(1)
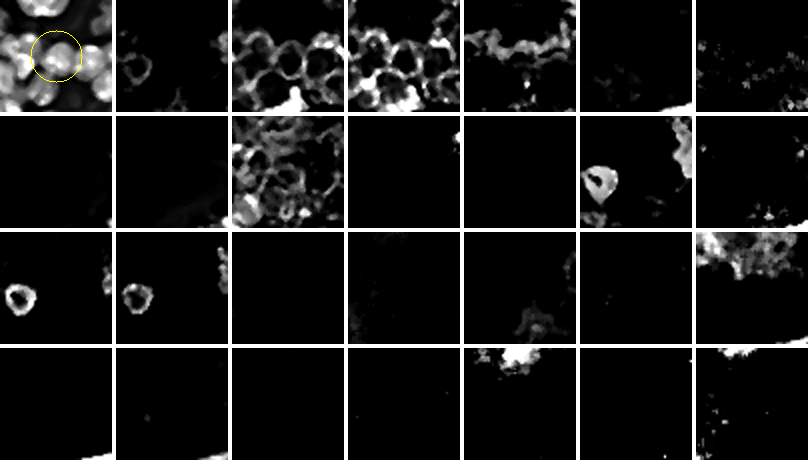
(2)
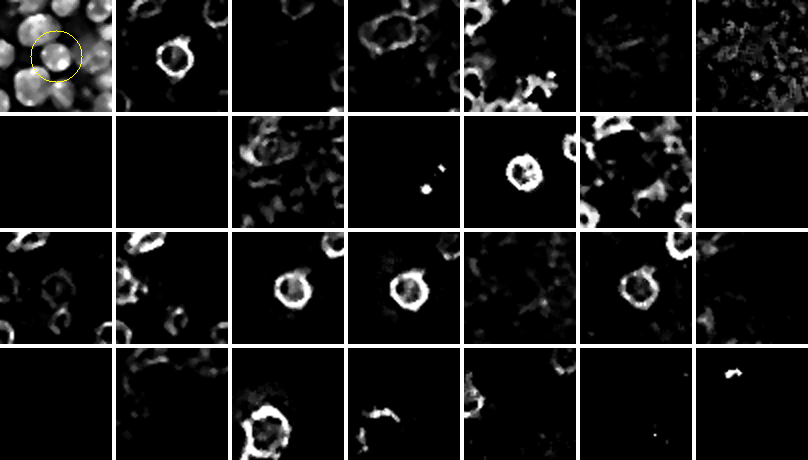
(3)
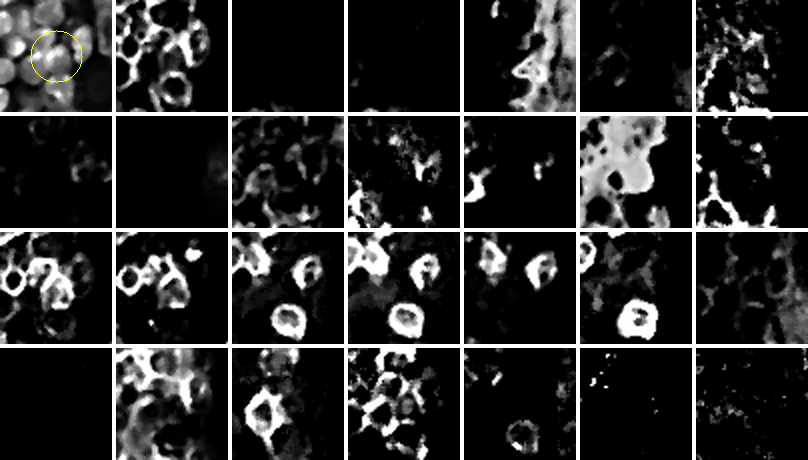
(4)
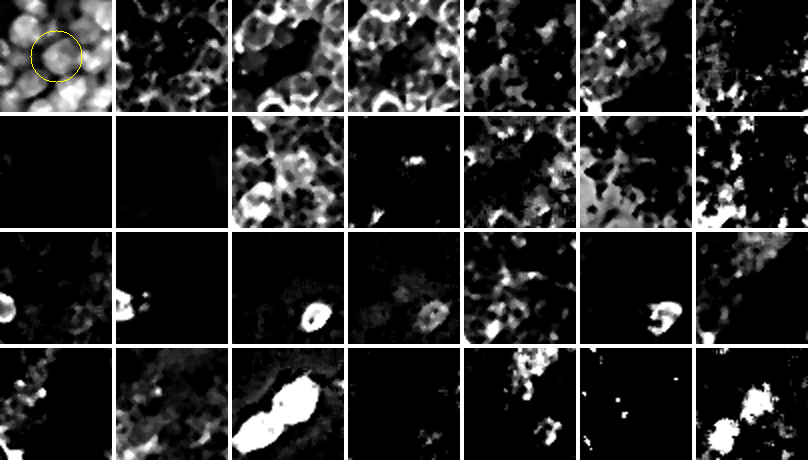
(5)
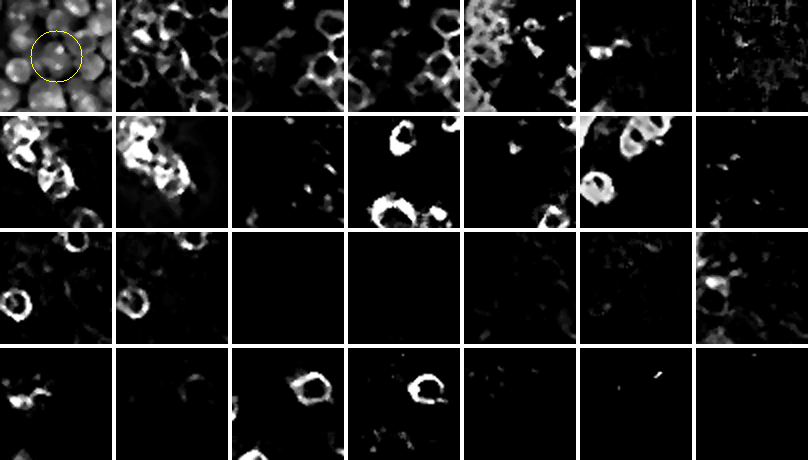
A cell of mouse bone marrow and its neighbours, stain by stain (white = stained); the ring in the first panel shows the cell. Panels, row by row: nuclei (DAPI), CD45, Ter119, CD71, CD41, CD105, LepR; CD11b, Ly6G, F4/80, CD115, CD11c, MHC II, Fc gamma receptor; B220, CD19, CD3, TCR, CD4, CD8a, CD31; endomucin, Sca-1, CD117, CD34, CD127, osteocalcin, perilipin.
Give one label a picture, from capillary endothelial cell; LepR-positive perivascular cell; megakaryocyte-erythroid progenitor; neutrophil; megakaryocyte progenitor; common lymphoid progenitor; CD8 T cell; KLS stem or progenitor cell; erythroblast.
1. erythroblast
2. CD8 T cell
3. megakaryocyte progenitor
4. megakaryocyte-erythroid progenitor
5. neutrophil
